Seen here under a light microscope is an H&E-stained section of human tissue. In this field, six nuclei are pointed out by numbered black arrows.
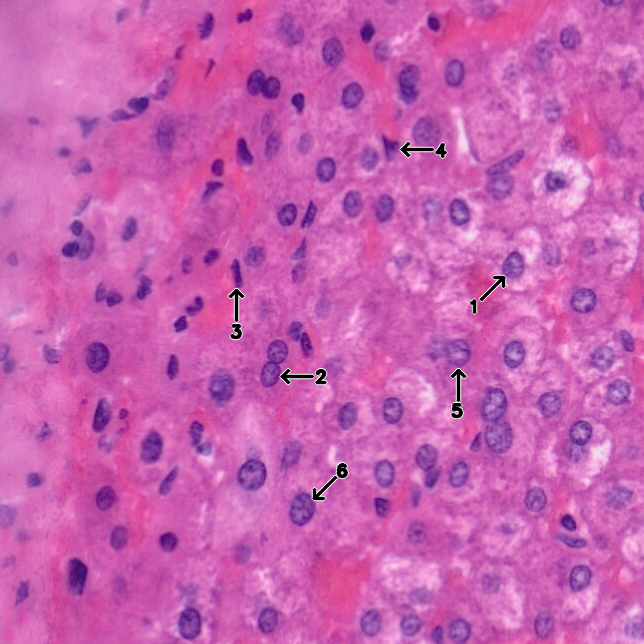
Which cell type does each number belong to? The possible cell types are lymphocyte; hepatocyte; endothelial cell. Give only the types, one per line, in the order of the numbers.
hepatocyte
hepatocyte
endothelial cell
endothelial cell
hepatocyte
hepatocyte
